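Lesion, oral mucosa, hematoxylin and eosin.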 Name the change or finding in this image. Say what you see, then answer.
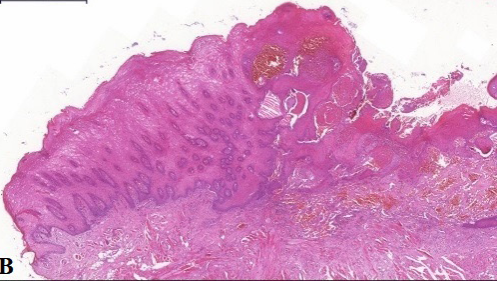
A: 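The epithelium is markedly thickened. Long, deep rete ridges extend into the underlying connective tissue. The answer: acanthosis.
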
